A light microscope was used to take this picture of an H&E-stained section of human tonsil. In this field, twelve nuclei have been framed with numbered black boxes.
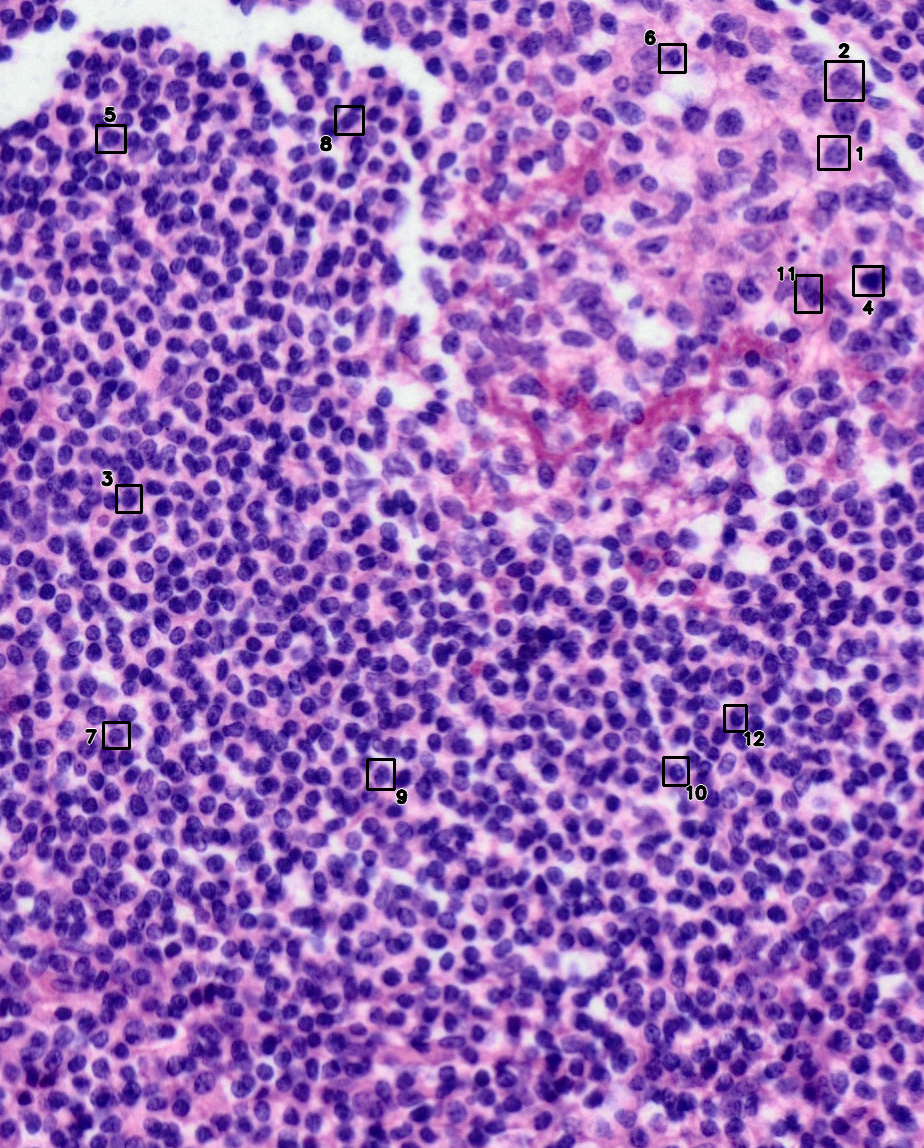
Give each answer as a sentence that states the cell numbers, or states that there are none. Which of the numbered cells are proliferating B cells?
Cells 1, 2, 4, 6 and 11 share one type; they are proliferating B cells.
